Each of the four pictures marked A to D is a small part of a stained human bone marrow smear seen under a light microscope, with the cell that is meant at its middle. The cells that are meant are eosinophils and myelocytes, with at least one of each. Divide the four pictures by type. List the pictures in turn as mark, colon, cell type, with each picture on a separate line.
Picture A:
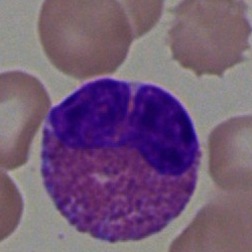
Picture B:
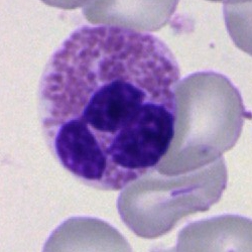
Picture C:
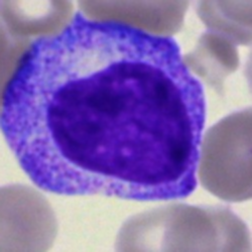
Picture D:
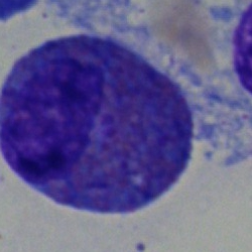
A: eosinophil
B: eosinophil
C: myelocyte
D: eosinophil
